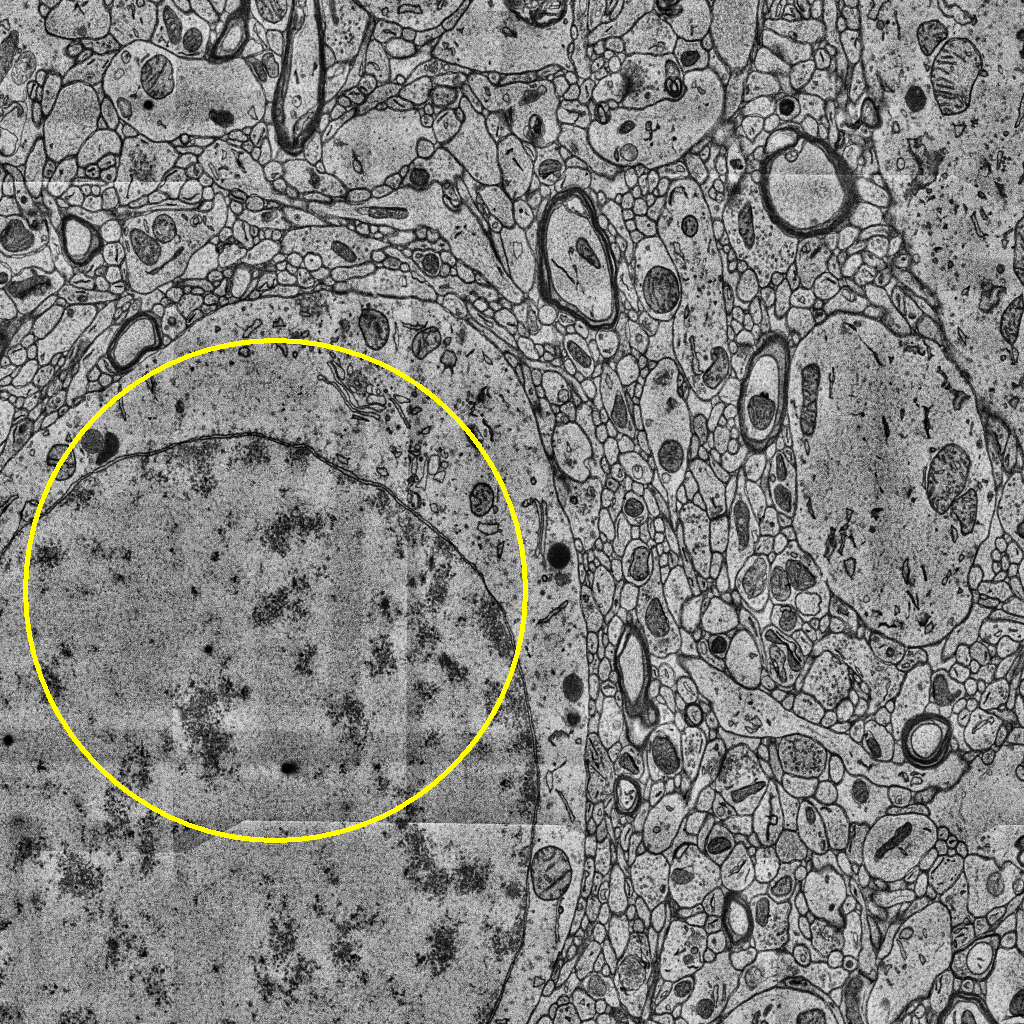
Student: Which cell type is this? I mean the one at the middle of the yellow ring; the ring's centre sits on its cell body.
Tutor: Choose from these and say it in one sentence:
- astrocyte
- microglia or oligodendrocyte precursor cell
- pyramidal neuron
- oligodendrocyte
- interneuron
The cell at the ring's centre is a pyramidal neuron.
